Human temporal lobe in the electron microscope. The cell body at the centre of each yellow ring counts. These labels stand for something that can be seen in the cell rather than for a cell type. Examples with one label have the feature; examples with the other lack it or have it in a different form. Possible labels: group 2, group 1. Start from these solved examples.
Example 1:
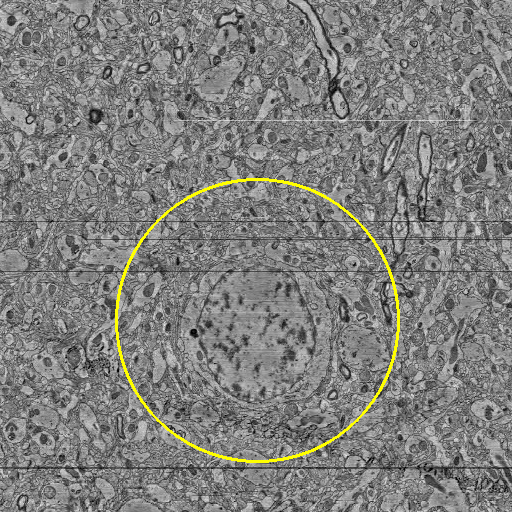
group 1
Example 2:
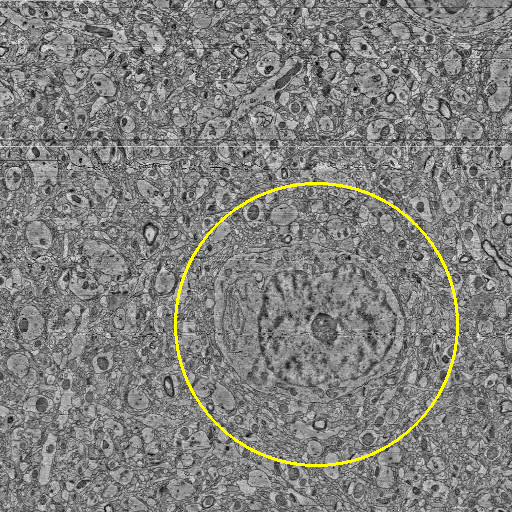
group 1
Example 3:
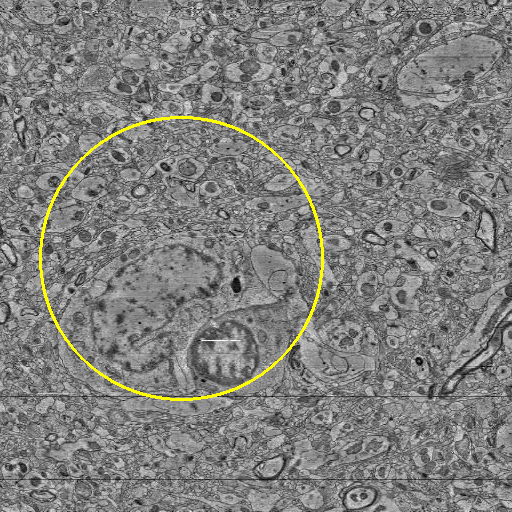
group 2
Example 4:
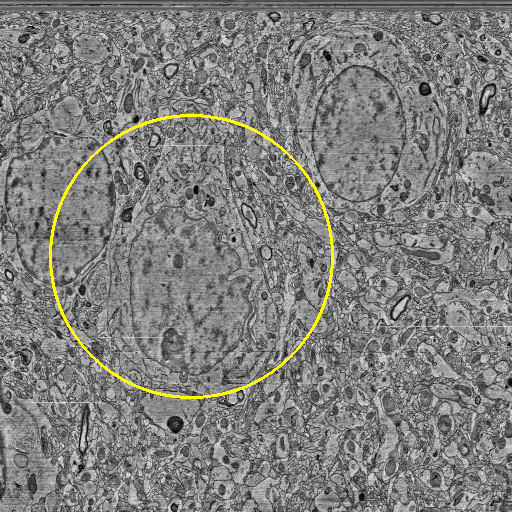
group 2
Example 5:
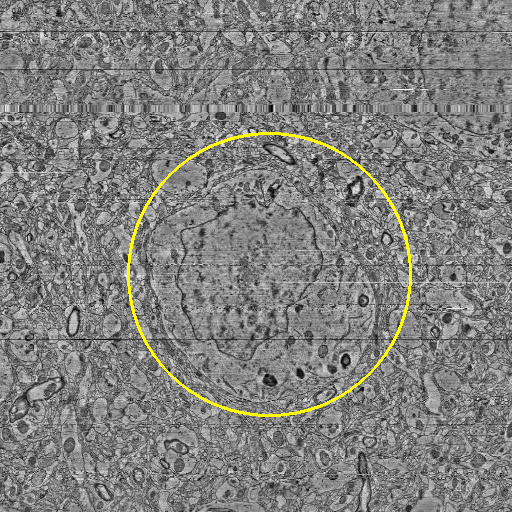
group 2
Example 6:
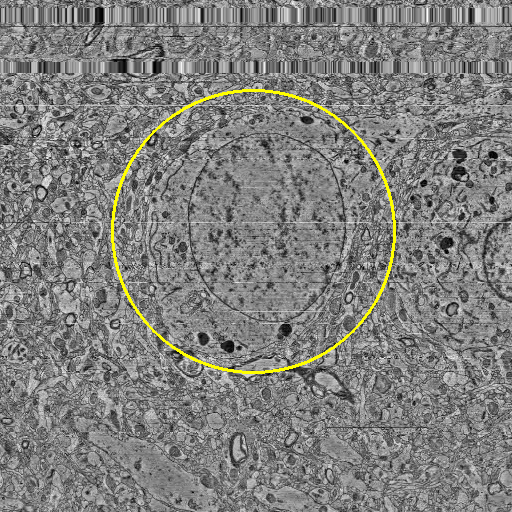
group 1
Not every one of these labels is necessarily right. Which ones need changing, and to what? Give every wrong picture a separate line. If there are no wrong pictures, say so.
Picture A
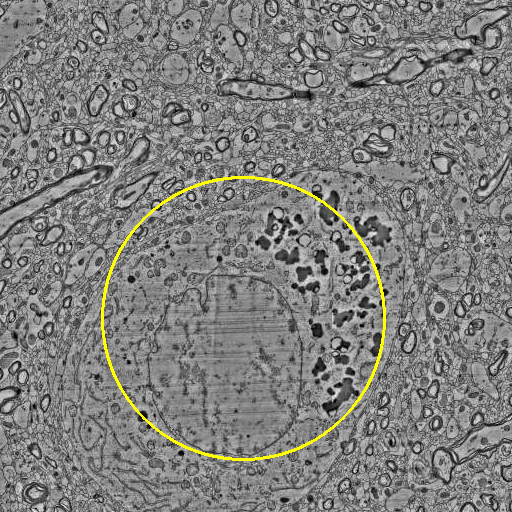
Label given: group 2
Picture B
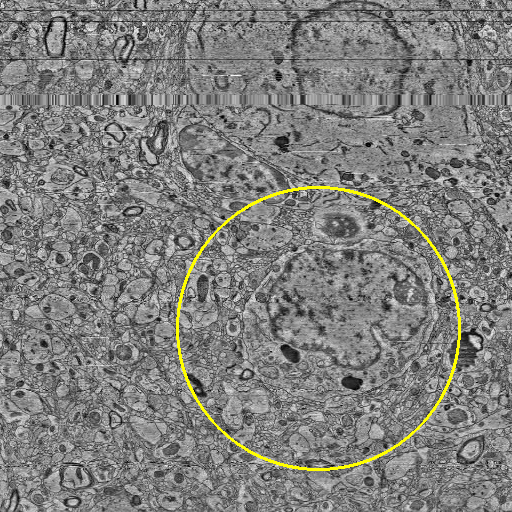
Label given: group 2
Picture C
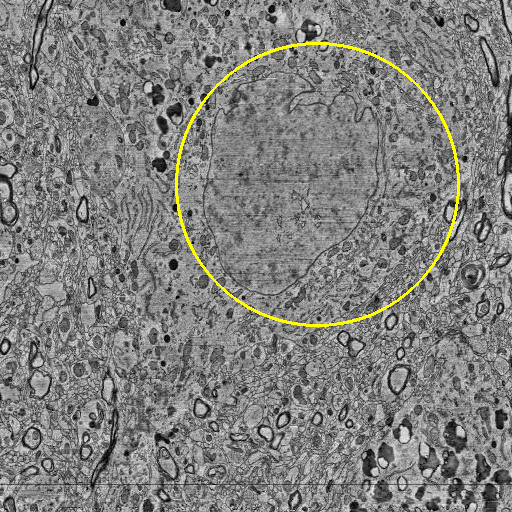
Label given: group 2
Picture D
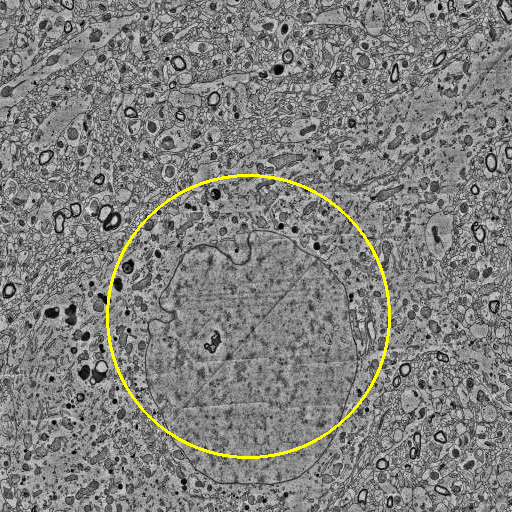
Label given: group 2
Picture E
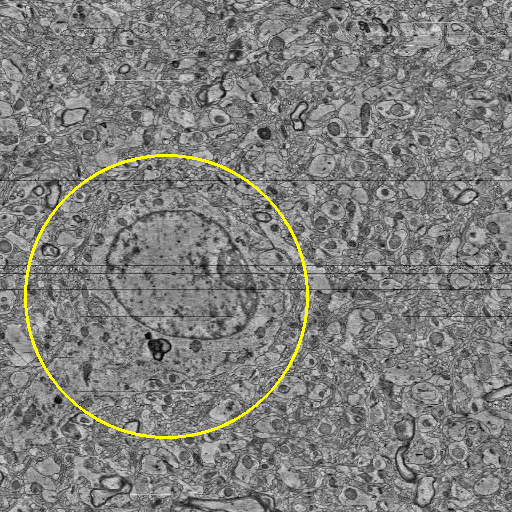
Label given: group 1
E: not group 1 but group 2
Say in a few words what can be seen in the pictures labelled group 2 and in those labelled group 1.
Seen in group 2: deeply folded or indented nuclear envelopes; seen in group 1: smooth nuclear envelopes without deep folds.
